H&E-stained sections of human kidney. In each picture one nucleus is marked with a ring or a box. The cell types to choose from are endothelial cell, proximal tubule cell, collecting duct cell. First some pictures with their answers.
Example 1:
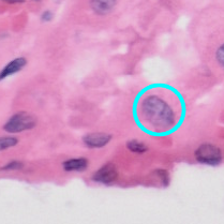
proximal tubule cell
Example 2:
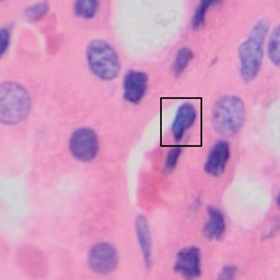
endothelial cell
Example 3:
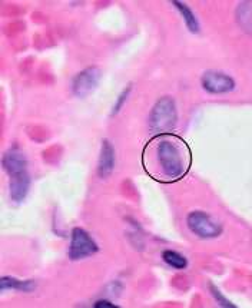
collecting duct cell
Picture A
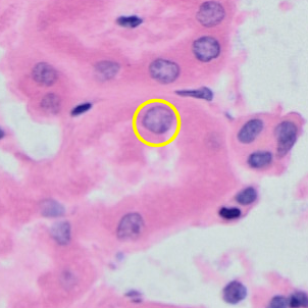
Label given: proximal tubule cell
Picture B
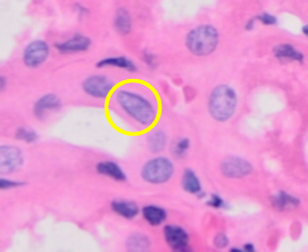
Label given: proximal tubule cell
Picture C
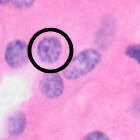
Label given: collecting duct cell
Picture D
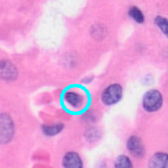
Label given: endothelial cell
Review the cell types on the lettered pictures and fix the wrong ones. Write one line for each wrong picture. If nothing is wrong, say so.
B: collecting duct cell, not proximal tubule cell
